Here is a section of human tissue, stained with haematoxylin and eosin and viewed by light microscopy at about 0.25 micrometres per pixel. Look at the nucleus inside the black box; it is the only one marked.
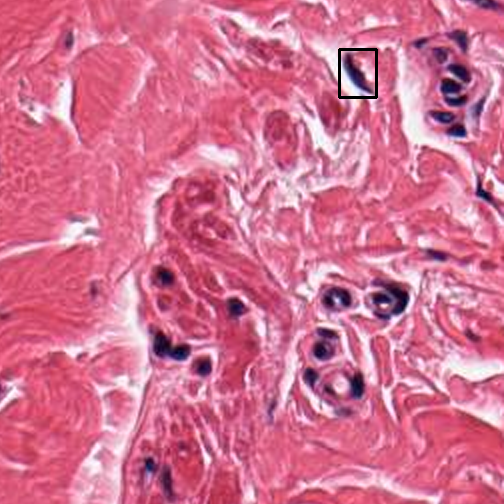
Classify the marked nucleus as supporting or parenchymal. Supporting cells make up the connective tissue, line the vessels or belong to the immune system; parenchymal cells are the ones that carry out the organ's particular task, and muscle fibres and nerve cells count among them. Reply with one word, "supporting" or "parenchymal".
supporting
